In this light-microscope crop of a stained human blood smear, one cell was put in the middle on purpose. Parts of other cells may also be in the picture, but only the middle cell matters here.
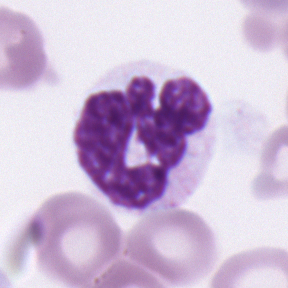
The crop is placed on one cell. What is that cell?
segmented neutrophil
